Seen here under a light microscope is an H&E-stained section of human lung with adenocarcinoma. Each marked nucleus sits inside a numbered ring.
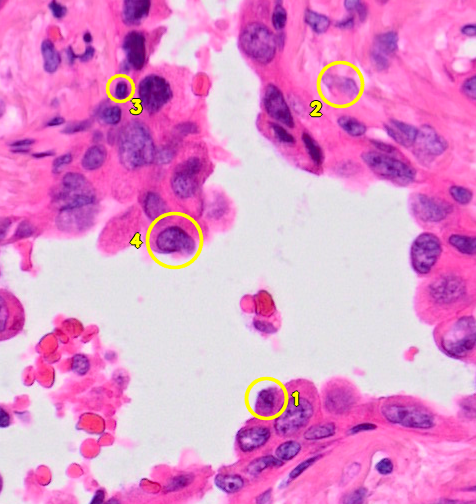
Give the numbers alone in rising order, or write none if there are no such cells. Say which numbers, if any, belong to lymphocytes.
3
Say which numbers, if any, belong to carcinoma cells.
1, 4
